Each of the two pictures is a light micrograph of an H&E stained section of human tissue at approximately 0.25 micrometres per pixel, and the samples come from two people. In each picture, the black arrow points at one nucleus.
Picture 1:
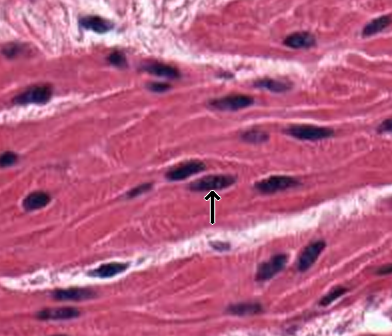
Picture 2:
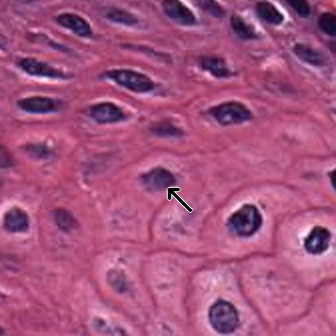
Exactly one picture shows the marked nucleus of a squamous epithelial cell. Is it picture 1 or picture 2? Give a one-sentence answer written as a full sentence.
In picture 2, the marked nucleus belongs to a squamous epithelial cell.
